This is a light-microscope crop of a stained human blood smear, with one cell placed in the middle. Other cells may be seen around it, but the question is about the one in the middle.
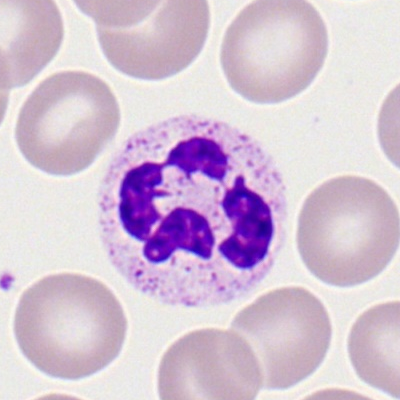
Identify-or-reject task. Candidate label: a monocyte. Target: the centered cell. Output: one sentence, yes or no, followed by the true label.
No, what lies at the heart of the crop is a segmented neutrophil, not a monocyte.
